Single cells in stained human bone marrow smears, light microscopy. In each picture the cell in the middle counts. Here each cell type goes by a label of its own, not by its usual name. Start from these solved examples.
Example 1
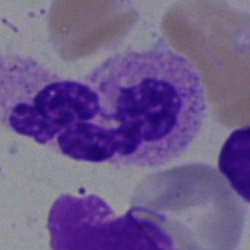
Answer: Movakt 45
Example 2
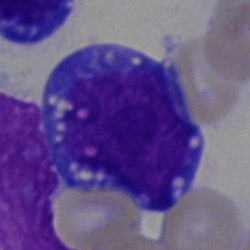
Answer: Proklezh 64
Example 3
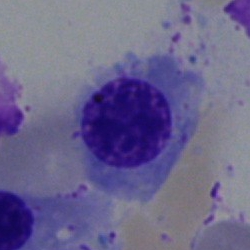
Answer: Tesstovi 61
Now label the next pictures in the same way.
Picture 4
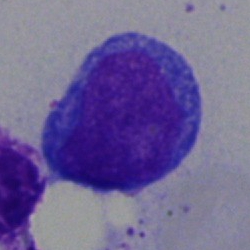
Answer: Proklezh 64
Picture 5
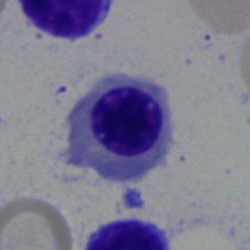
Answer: Tesstovi 61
